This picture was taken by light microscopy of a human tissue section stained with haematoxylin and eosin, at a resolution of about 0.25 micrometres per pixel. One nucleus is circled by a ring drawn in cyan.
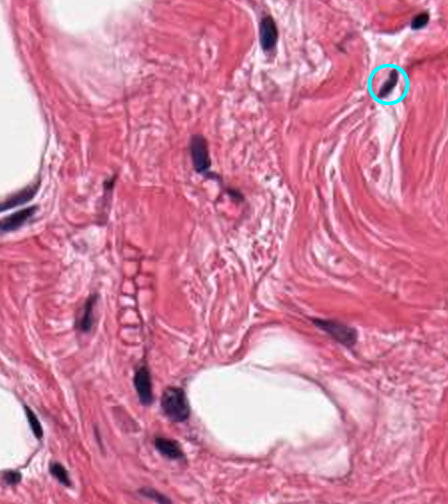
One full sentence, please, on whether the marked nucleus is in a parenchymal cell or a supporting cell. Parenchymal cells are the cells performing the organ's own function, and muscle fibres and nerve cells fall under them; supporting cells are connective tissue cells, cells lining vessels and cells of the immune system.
What the marked nucleus belongs to is a supporting cell.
